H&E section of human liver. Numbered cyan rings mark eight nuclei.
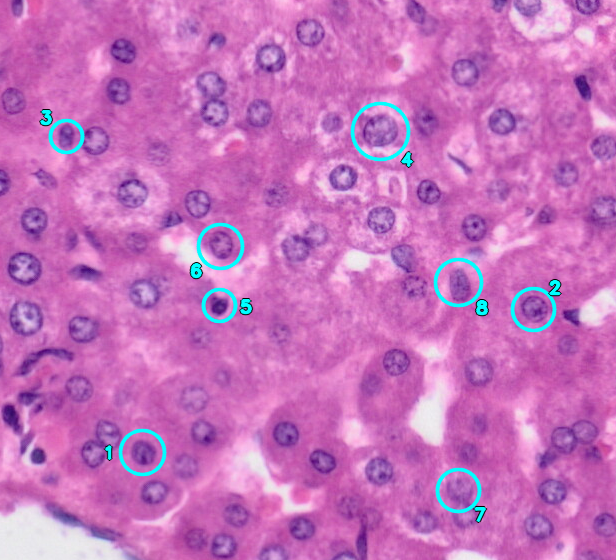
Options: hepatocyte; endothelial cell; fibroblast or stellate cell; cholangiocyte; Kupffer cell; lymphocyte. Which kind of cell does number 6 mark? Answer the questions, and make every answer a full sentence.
Marked with the number 6, this cell is a hepatocyte.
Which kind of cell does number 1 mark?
Corresponding to a hepatocyte is the cell labelled 1.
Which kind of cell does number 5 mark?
The numbered cell 5 is identified here as a fibroblast or stellate cell.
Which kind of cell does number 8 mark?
In the tissue shown, cell 8 is a Kupffer cell.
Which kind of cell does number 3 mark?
In this section, the cell tagged 3 is a fibroblast or stellate cell.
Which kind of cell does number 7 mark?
The label 7 in this section denotes a hepatocyte.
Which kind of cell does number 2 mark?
Cell 2 in the field of view is a hepatocyte.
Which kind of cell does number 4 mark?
Belonging to a hepatocyte is the nucleus that carries the number 4.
